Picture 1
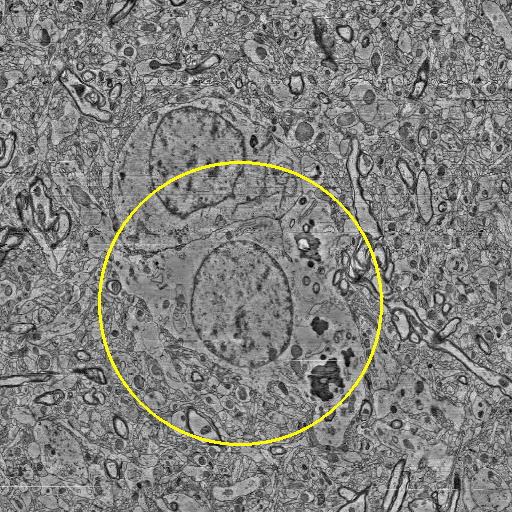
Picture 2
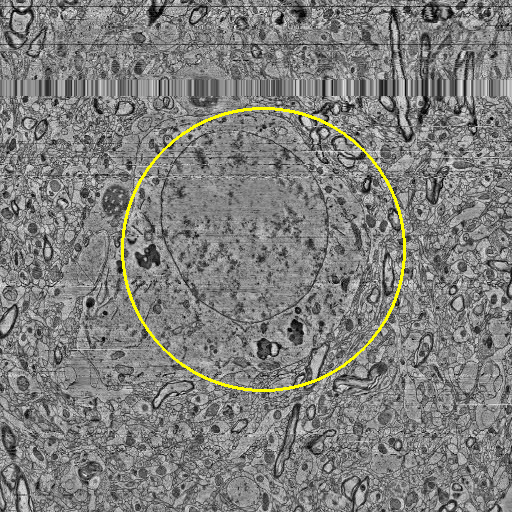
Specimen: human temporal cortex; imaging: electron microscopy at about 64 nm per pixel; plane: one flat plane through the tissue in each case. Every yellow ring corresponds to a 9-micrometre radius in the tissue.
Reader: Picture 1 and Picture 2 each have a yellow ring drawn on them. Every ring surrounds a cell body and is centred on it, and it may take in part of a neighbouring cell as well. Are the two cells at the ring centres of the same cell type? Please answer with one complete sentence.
No, the cells are of two cell types.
